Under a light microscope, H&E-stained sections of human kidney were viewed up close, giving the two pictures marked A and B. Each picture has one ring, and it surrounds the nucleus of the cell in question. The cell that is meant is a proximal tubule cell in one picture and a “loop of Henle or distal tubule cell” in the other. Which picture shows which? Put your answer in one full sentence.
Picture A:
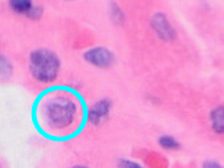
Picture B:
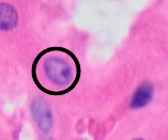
Picture A shows a “loop of Henle or distal tubule cell” and picture B shows a proximal tubule cell.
